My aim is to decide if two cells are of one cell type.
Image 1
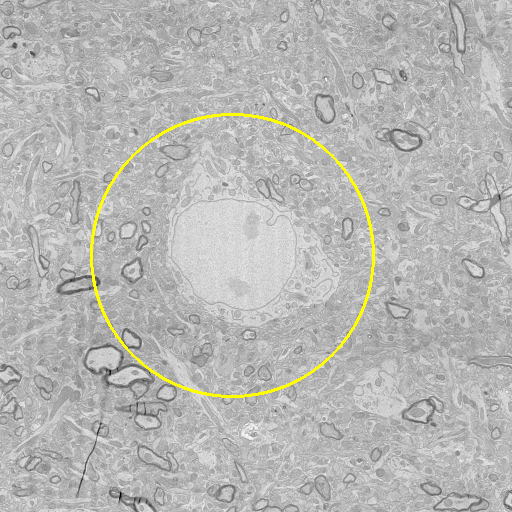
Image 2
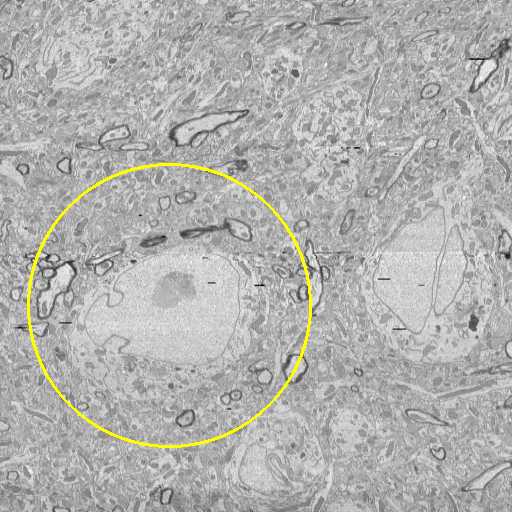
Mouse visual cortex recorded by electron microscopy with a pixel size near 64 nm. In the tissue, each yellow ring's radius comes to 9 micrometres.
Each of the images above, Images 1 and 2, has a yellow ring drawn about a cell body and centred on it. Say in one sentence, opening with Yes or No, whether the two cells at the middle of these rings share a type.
Yes, in Images 1 and 2 the cells at the middle of the rings share one type.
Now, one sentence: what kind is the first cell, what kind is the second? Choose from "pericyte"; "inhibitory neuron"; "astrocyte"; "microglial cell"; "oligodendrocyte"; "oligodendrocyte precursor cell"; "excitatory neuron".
Each of the ringed cells, first and second, is an excitatory neuron.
